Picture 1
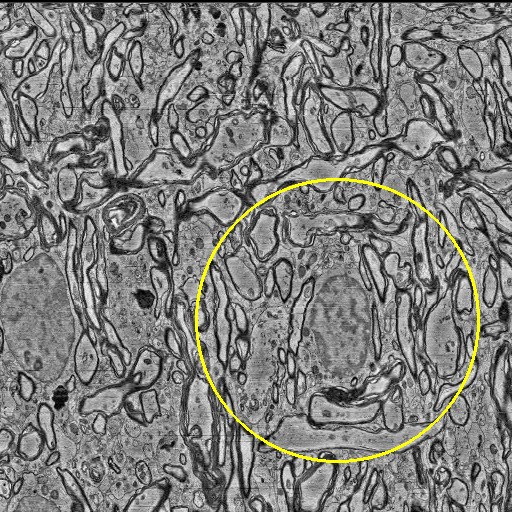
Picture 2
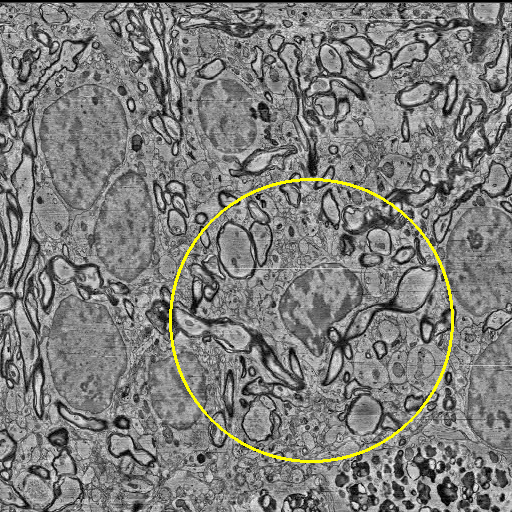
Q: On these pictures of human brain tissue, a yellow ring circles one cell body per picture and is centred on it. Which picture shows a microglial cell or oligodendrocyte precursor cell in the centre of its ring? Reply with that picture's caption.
Picture 2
